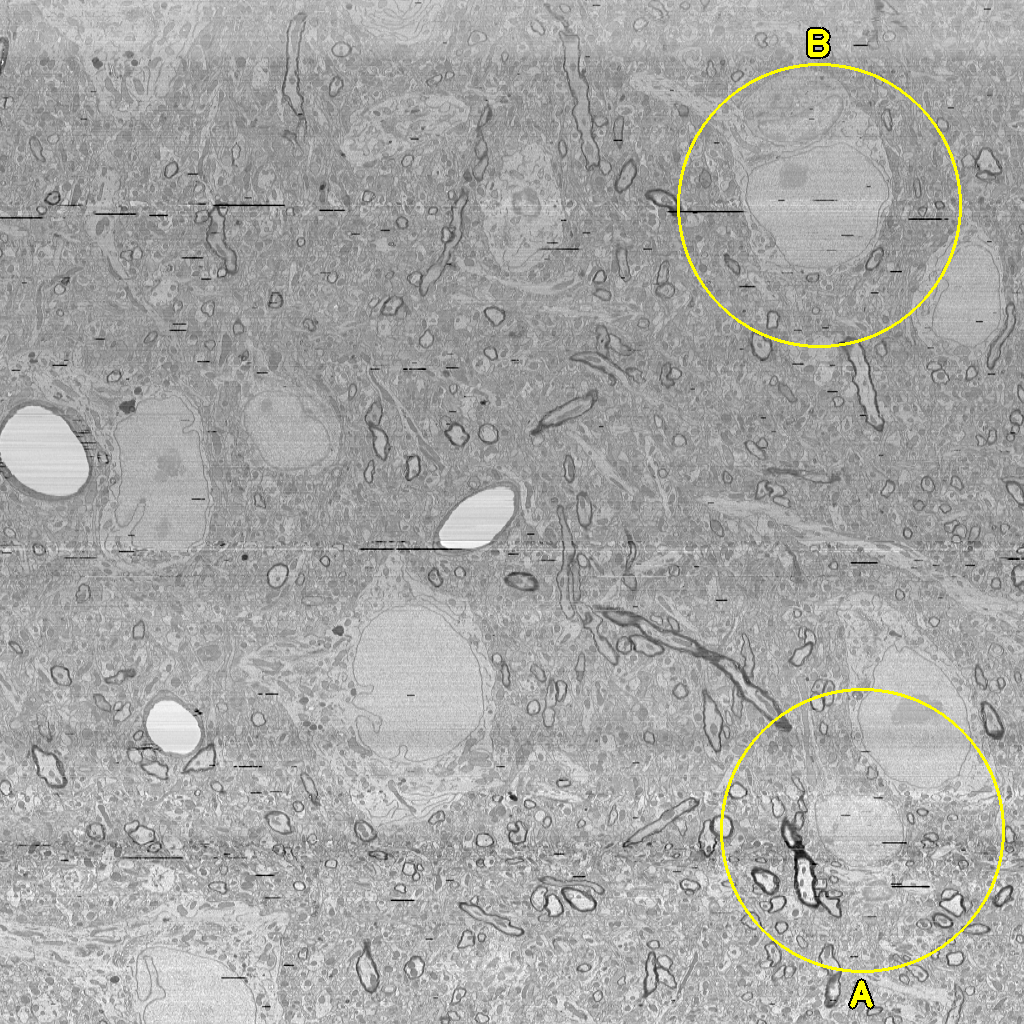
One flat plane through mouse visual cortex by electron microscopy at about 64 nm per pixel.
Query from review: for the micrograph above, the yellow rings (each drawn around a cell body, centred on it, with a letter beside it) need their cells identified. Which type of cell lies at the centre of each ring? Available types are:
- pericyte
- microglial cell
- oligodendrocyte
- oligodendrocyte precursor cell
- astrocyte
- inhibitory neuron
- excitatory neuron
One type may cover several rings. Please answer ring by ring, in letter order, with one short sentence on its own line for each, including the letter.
Ring A is drawn around an astrocyte.
Ring B is drawn around an excitatory neuron.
